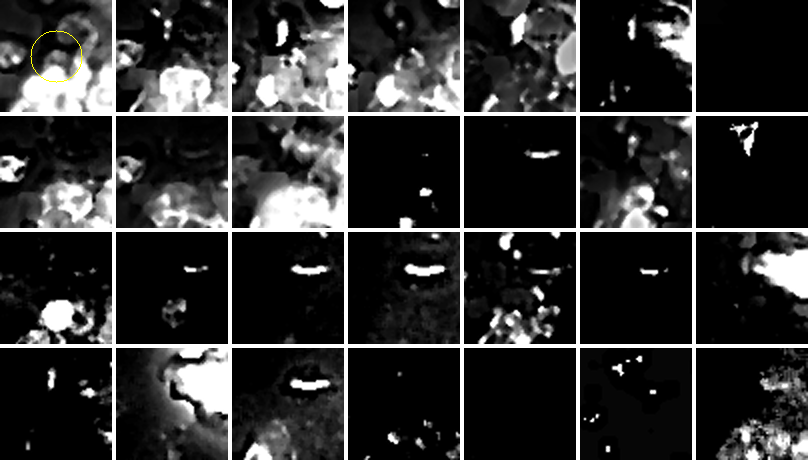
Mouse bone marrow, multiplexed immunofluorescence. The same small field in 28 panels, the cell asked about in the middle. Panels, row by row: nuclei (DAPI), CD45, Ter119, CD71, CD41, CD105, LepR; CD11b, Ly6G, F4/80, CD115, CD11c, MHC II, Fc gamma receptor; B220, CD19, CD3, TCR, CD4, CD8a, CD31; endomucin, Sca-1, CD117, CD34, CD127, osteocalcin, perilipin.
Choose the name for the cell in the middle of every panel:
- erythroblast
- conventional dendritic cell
erythroblast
